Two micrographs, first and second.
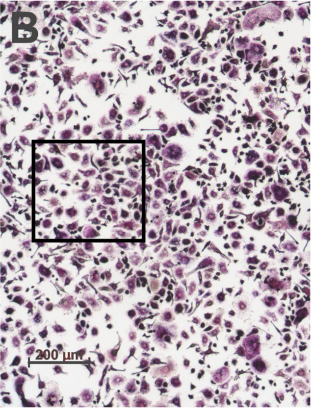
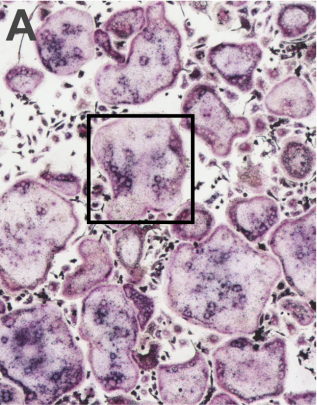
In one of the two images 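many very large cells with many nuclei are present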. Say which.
the second image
